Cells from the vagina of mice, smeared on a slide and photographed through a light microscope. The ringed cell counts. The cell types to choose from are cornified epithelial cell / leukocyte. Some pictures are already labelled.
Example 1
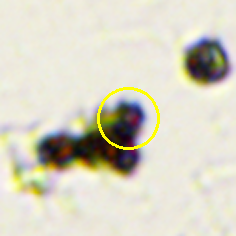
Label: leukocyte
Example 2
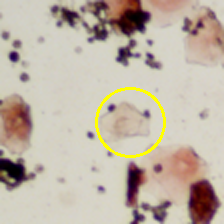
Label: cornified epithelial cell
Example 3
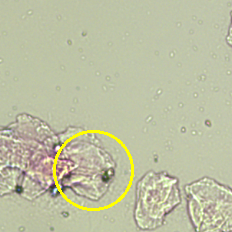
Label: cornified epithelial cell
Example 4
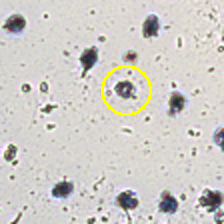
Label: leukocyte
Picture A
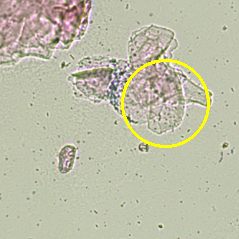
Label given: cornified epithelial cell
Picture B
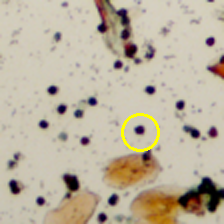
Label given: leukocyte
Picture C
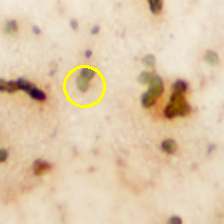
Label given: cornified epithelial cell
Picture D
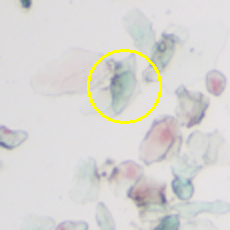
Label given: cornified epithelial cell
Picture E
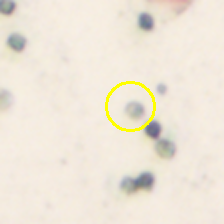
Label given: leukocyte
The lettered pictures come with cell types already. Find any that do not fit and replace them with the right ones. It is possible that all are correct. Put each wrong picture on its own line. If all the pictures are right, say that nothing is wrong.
C should be leukocyte, not cornified epithelial cell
